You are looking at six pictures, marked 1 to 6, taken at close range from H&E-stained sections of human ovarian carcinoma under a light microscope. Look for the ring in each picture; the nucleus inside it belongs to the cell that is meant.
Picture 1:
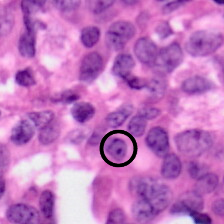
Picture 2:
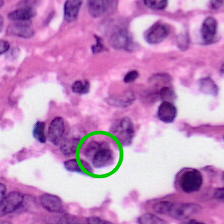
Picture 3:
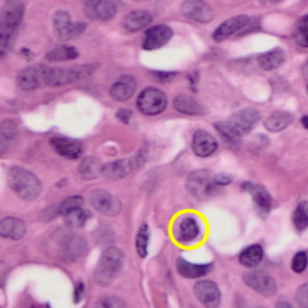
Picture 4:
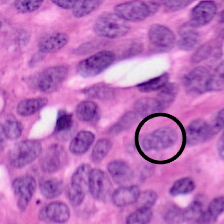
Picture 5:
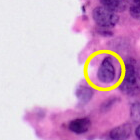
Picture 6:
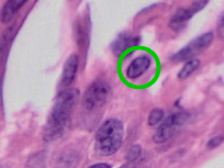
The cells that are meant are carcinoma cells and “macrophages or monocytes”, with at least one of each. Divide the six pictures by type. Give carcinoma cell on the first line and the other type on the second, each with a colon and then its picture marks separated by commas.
carcinoma cell: 2, 4
macrophage or monocyte: 1, 3, 5, 6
